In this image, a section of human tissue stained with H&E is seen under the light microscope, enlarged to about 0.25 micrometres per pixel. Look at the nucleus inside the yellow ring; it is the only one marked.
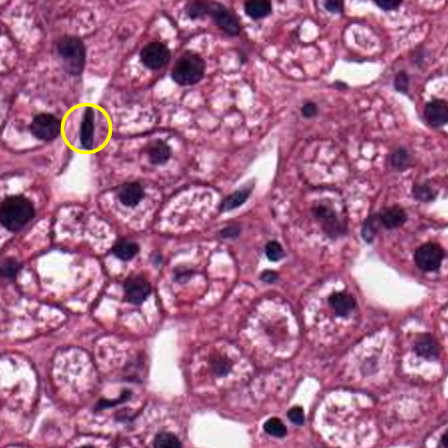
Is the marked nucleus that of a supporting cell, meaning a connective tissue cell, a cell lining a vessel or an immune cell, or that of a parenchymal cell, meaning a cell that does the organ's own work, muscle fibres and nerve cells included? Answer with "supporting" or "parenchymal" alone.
supporting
